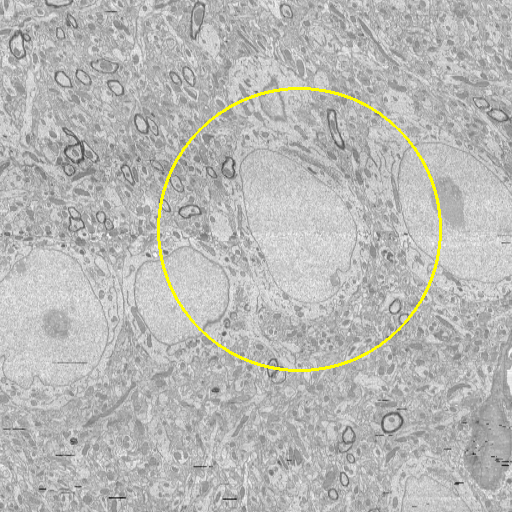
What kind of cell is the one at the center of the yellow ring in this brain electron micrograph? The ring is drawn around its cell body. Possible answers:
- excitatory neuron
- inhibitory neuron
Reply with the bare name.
excitatory neuron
